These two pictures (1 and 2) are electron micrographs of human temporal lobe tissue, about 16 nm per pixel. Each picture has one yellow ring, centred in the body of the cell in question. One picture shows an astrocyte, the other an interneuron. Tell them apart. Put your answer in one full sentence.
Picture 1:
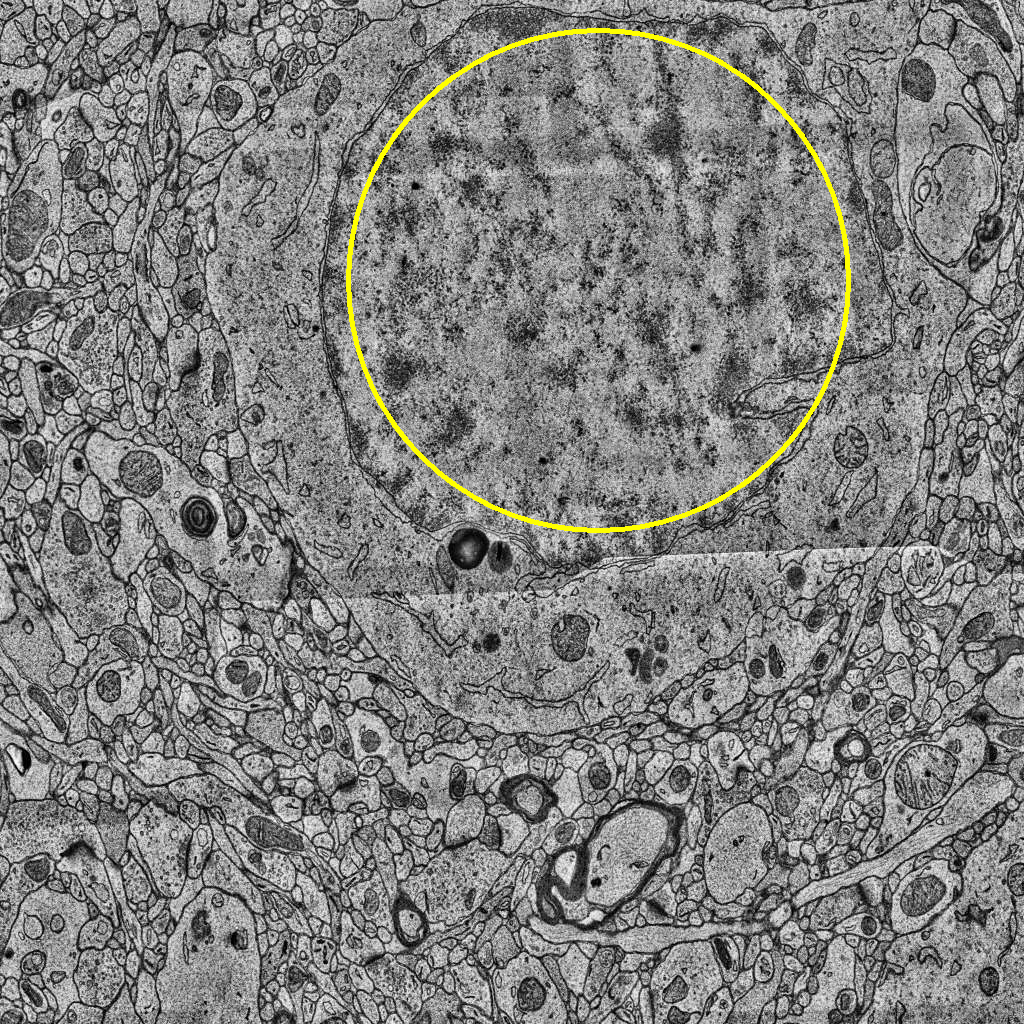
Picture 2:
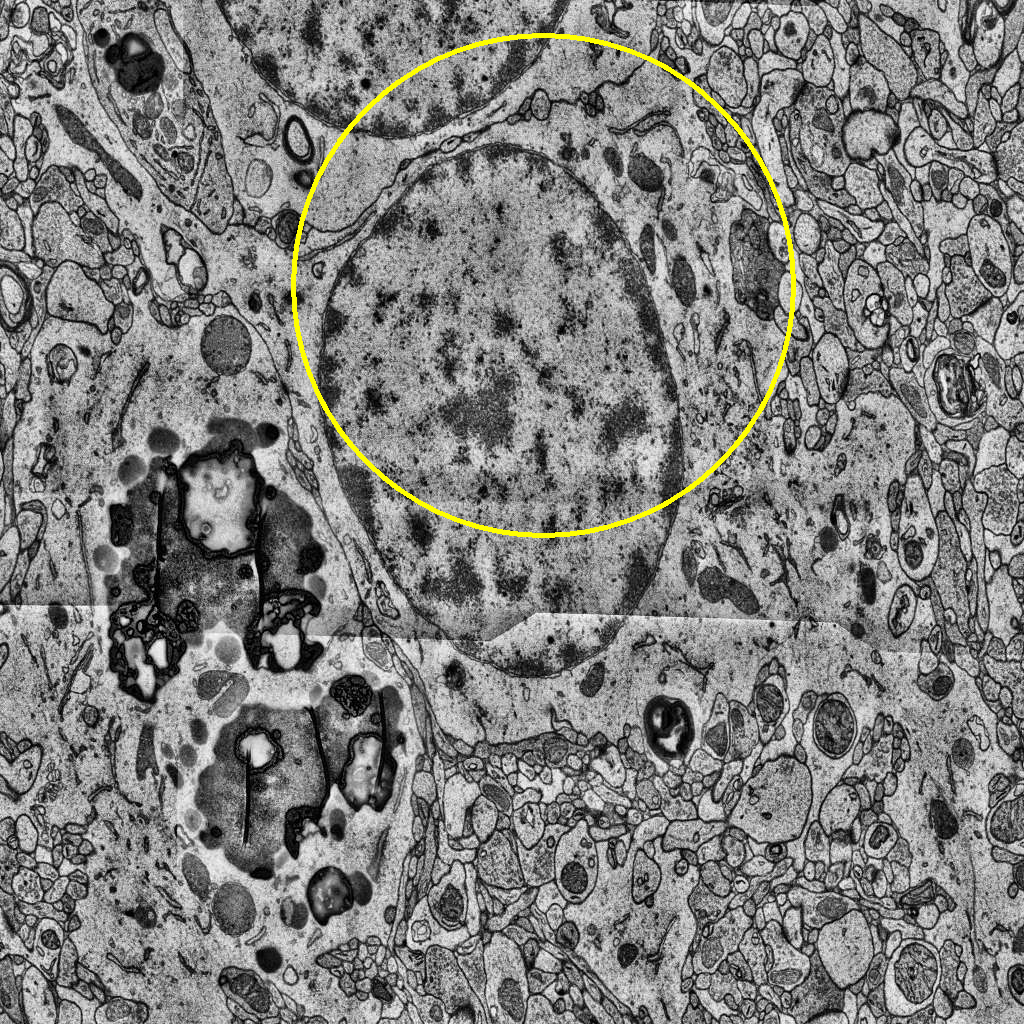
Picture 1 shows an interneuron and picture 2 shows an astrocyte.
